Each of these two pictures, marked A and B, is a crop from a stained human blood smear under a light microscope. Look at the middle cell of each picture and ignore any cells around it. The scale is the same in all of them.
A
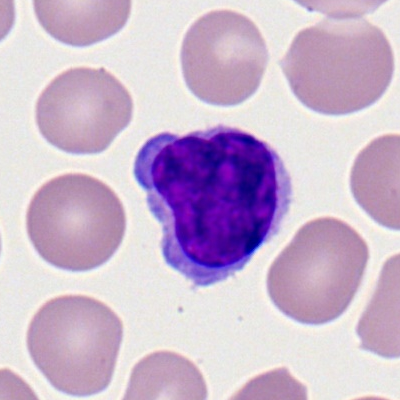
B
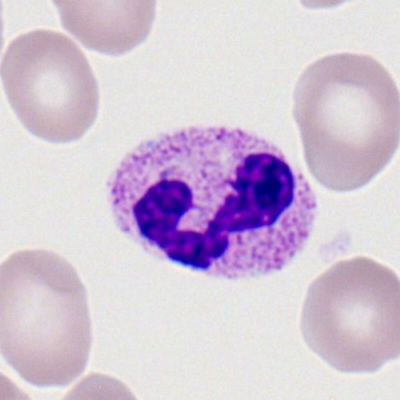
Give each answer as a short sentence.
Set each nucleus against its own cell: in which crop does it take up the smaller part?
It is the cell in crop B that is filled less by its nucleus.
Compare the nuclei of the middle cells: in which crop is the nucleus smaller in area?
Crop B shows the smaller nucleus, since that in crop A covers about 1.5 times as much area.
